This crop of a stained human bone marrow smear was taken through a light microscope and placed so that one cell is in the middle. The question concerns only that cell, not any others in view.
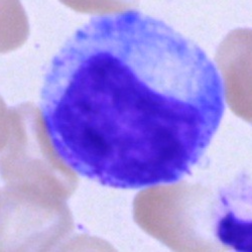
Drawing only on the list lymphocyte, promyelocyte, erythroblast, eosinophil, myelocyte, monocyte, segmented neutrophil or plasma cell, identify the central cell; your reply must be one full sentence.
The central cell shown in this smear crop is a promyelocyte.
